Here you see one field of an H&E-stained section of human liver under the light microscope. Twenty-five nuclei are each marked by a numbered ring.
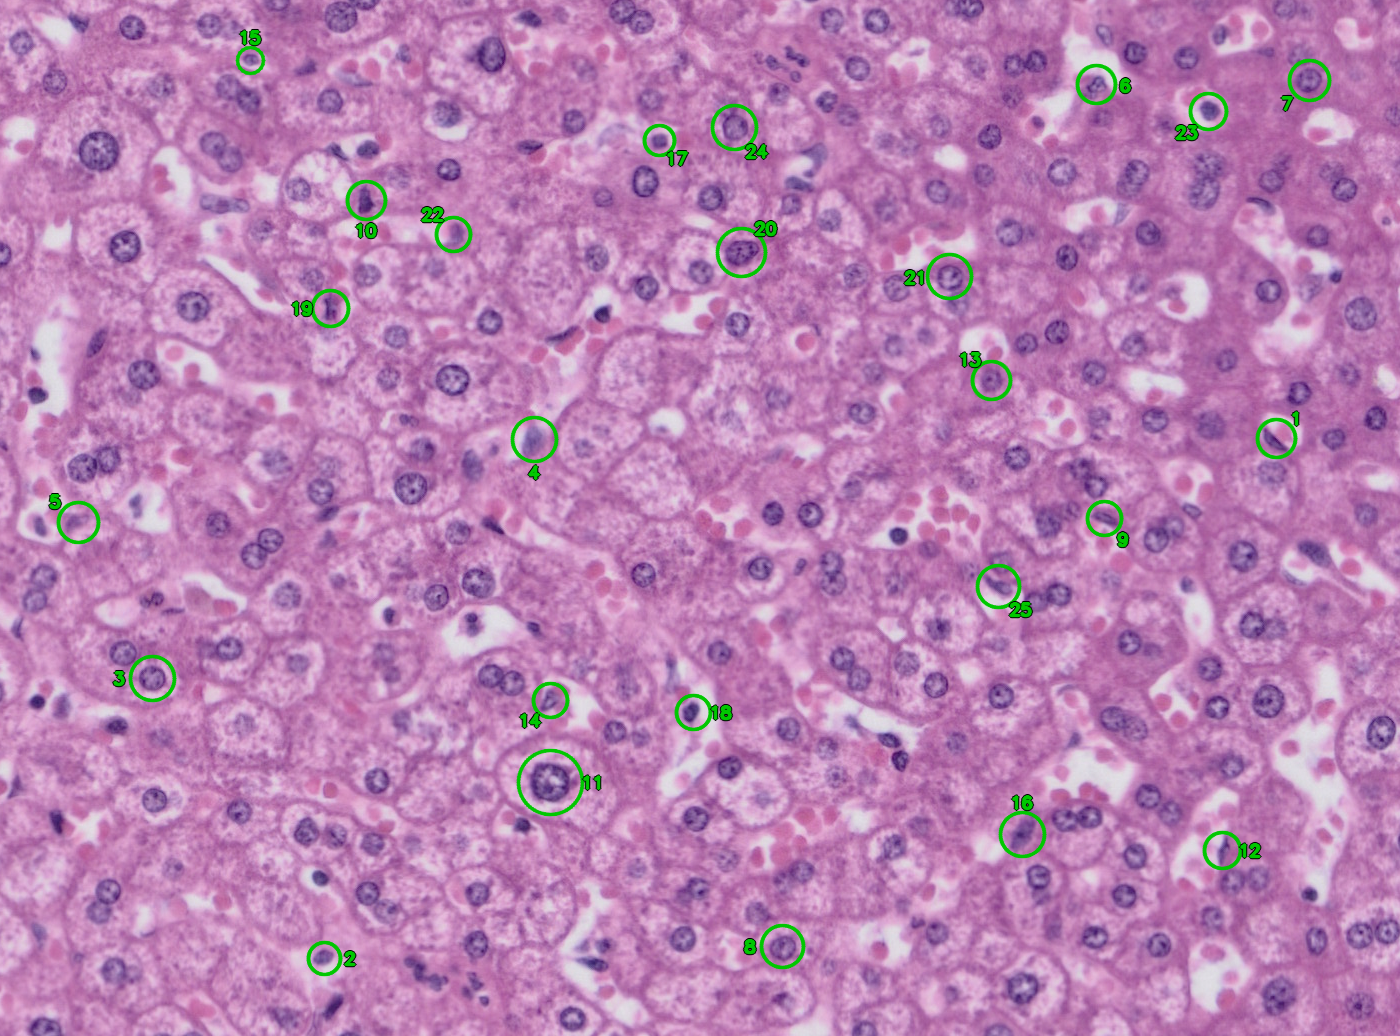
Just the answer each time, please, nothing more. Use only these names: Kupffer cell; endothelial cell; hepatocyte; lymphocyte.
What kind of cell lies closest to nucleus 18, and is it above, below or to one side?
a Kupffer cell above and to the left of nucleus 18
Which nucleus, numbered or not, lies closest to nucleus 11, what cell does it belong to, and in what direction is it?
a lymphocyte; below and to the left of nucleus 11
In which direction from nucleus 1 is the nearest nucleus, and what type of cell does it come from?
a hepatocyte, below nucleus 1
